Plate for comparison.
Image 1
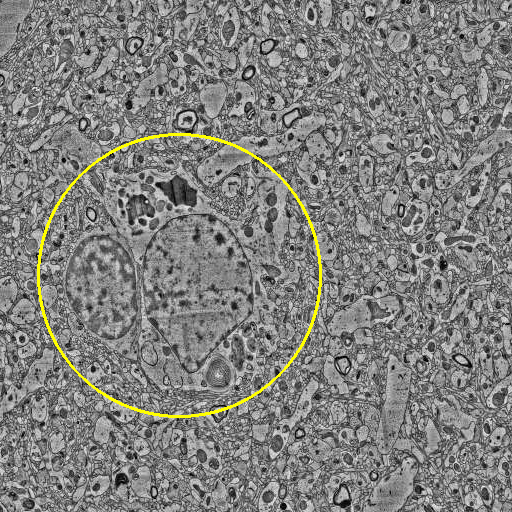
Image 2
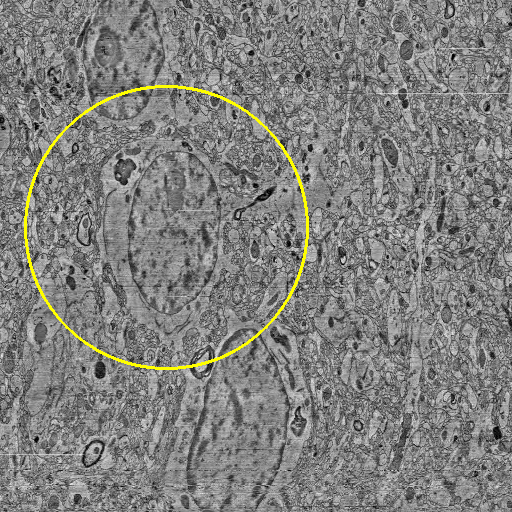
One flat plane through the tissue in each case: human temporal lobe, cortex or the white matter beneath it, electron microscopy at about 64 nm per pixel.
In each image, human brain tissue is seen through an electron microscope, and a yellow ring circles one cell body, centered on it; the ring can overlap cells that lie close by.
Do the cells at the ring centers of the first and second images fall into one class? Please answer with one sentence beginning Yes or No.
Yes, the first and second images show a single class of cell at the ring centers.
